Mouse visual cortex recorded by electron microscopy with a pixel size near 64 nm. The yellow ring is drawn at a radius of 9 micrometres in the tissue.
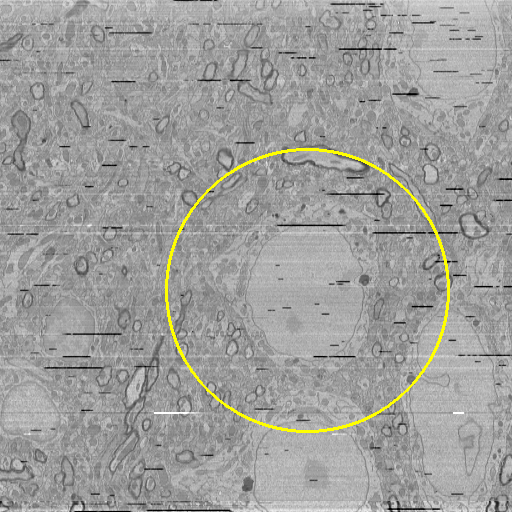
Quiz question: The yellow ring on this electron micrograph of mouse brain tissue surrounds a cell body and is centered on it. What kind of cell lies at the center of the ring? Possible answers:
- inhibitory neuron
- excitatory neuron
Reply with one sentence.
The ring's center lies on an excitatory neuron.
